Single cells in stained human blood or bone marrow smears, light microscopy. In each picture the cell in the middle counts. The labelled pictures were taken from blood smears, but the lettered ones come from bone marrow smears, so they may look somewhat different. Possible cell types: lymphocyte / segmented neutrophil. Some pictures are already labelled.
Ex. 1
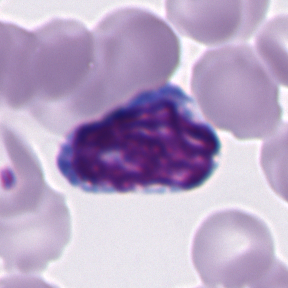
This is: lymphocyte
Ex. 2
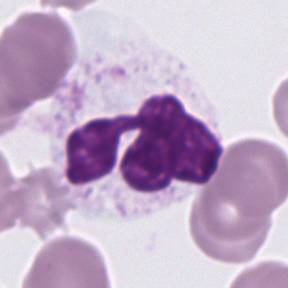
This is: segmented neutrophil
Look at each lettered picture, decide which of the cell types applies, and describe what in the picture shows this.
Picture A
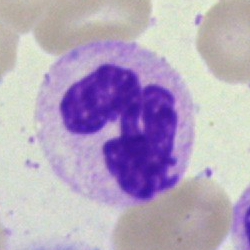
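segmented neutrophil. Evidence: The cytoplasm is abundant and pale lilac.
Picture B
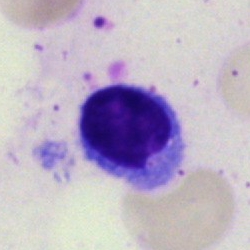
lymphocyte. Evidence: The cytoplasm is scant, forming a rim widest at the lower right.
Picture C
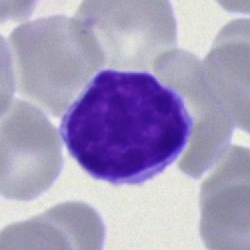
lymphocyte. Evidence: Cytoplasm is very scant, seen only as a thin pale rim at the edge.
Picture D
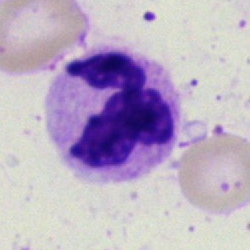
segmented neutrophil. Evidence: The cytoplasm is plentiful and pale lilac.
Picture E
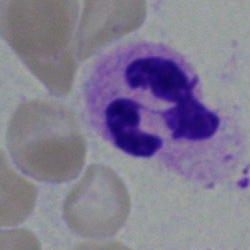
segmented neutrophil. Evidence: The cytoplasm is plentiful and pale pinkish-lilac.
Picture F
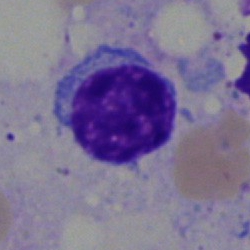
lymphocyte. Evidence: The nucleus fills most of the cell and sits off-centre toward the lower right.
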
